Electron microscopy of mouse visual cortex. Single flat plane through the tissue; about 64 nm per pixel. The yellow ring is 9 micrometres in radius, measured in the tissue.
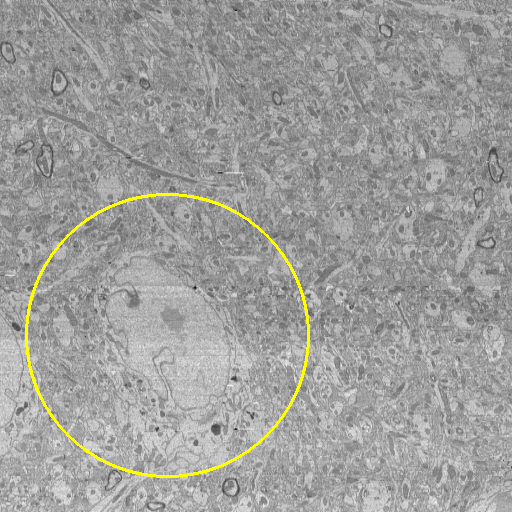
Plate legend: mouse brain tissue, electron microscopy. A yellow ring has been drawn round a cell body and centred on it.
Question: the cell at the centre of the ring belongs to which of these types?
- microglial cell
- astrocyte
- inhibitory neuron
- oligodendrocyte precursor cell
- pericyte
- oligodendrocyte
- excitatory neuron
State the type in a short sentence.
The cell in the middle of the ring is an inhibitory neuron.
